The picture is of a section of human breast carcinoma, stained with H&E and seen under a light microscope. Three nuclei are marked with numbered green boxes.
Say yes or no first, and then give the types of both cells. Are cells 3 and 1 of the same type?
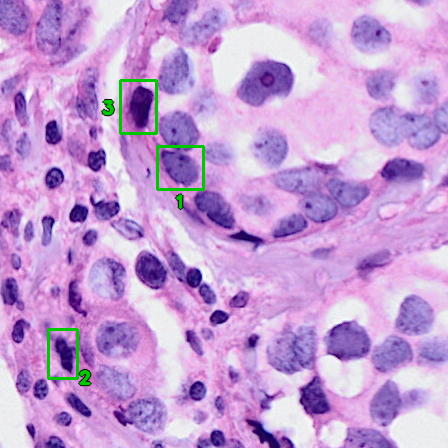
Yes, both are carcinoma cells.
